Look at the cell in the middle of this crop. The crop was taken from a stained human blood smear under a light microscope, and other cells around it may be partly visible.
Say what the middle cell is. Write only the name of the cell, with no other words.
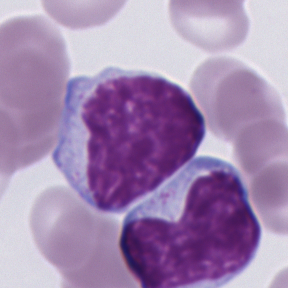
large granular lymphocyte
